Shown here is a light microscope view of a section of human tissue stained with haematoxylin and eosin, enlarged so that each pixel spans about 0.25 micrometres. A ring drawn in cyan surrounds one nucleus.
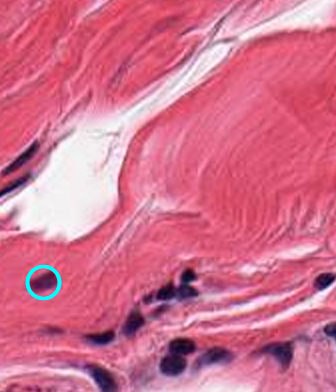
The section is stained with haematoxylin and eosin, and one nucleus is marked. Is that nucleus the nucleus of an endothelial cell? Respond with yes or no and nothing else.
no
